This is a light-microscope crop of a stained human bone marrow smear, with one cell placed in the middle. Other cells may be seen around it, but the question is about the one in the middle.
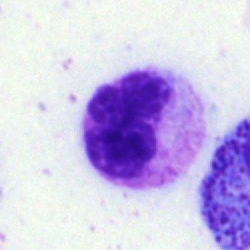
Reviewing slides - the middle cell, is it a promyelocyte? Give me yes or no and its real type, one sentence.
No, at the middle of the crop is a basophil, not a promyelocyte.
